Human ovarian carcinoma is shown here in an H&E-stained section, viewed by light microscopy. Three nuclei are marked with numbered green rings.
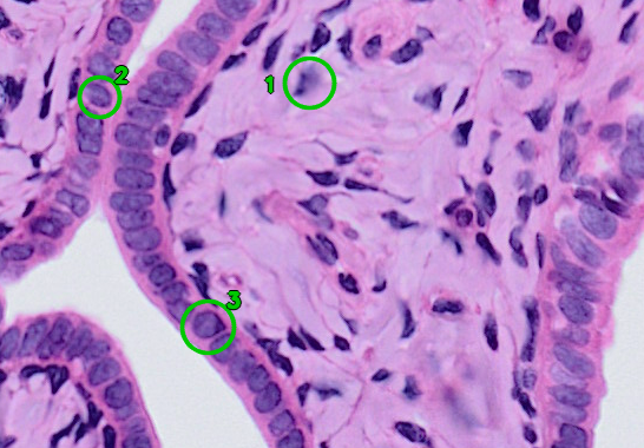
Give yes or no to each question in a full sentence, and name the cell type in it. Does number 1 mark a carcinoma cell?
No, as for cell 1, it is a fibroblast and not a carcinoma cell.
